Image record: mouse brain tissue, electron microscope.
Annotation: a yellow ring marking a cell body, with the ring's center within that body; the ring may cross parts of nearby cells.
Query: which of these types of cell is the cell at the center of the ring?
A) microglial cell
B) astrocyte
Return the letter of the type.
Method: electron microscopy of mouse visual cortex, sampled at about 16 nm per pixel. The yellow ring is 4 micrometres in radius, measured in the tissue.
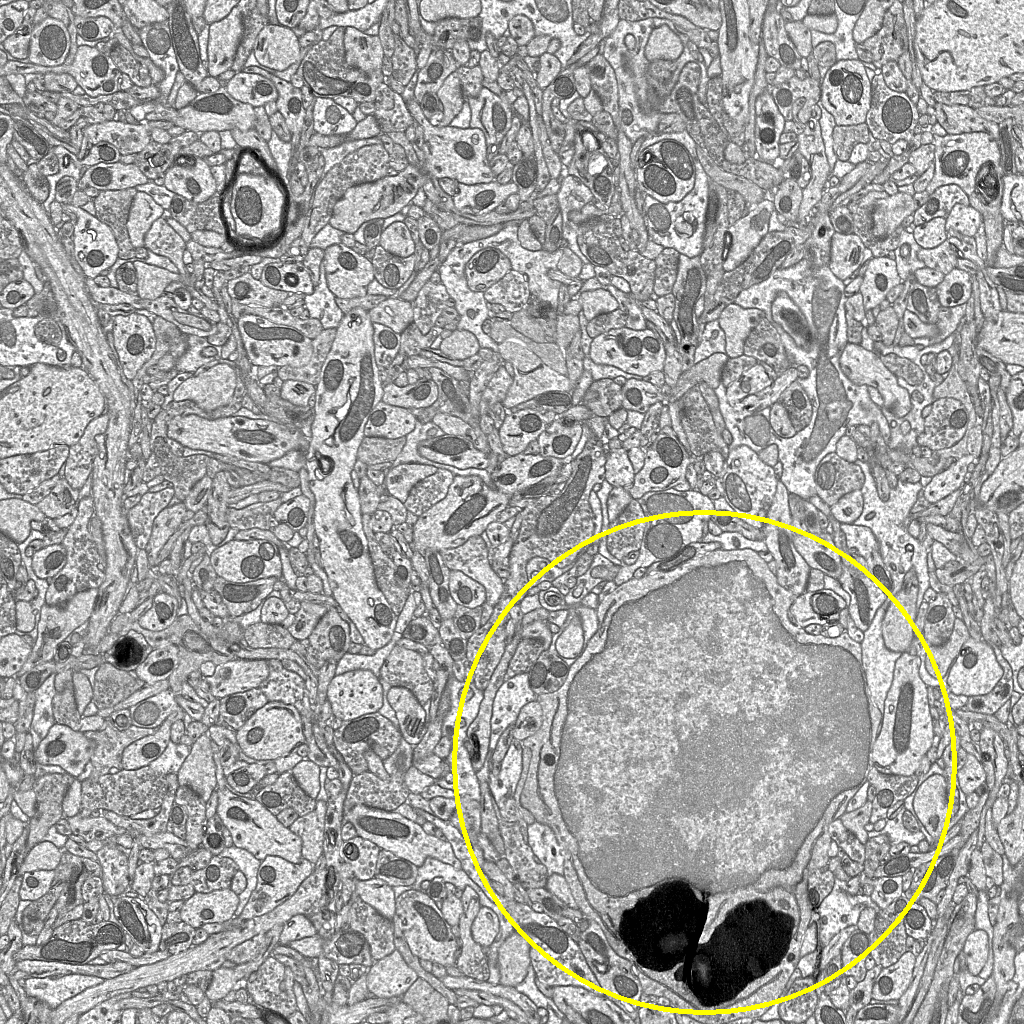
A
